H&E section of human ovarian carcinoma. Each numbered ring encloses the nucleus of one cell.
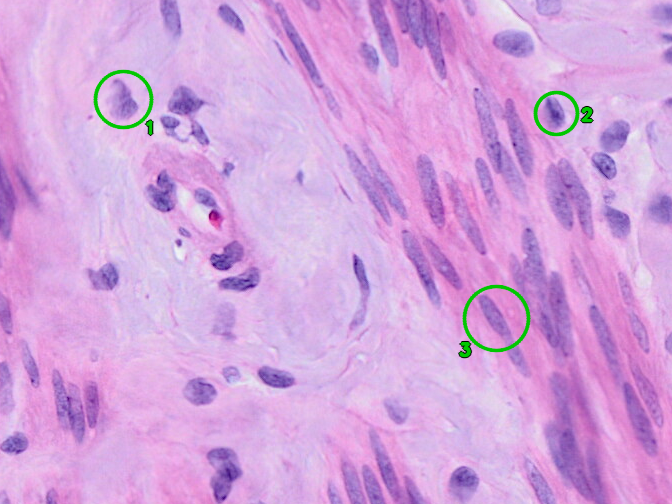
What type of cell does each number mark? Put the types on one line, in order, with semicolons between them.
fibroblast; fibroblast; smooth muscle cell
